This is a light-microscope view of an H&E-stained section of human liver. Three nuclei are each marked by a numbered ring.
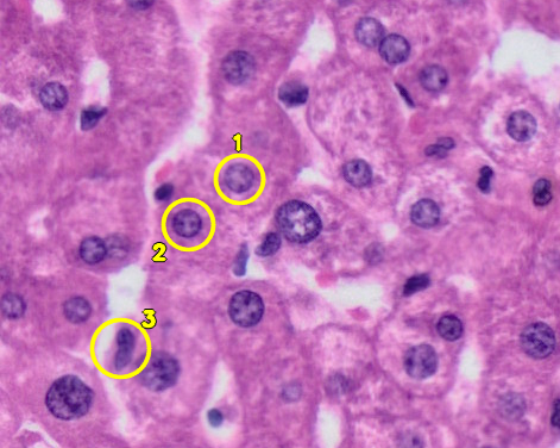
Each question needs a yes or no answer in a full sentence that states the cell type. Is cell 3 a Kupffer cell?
Yes, a Kupffer cell is what the cell numbered 3 is.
